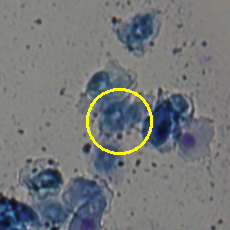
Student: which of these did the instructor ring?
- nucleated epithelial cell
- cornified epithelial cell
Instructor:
The cell I ringed is a nucleated epithelial cell.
